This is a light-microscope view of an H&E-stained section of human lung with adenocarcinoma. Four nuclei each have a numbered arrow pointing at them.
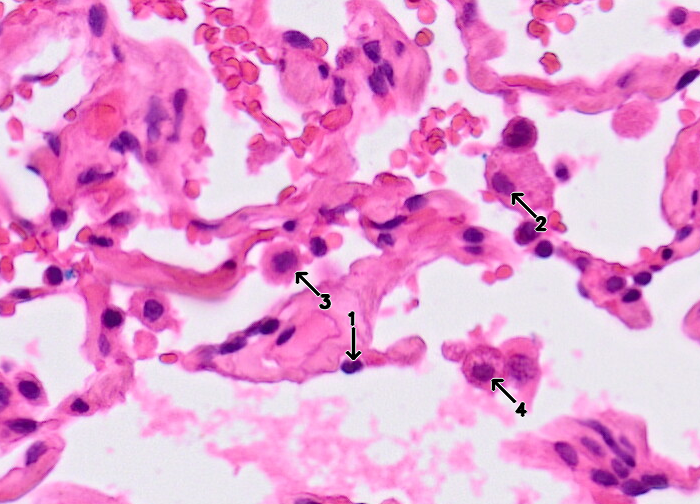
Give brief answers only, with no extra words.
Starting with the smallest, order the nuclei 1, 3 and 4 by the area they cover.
1, 4, 3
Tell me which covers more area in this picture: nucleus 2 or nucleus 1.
2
